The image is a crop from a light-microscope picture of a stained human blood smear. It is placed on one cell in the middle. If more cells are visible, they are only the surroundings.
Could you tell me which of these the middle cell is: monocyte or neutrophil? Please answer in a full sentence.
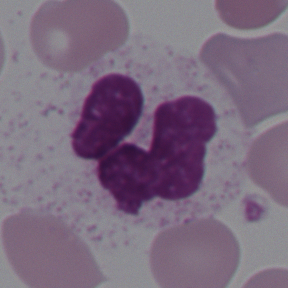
The cell featured at the centre of this crop is a neutrophil.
